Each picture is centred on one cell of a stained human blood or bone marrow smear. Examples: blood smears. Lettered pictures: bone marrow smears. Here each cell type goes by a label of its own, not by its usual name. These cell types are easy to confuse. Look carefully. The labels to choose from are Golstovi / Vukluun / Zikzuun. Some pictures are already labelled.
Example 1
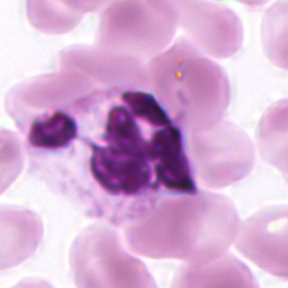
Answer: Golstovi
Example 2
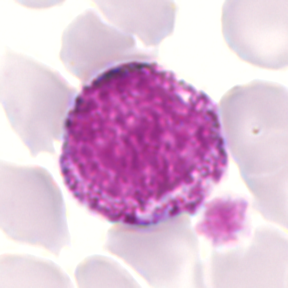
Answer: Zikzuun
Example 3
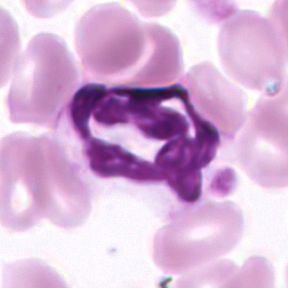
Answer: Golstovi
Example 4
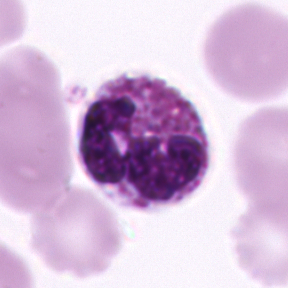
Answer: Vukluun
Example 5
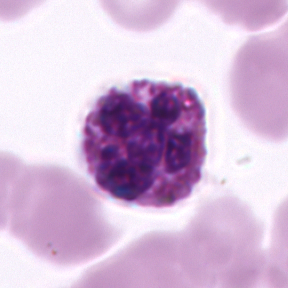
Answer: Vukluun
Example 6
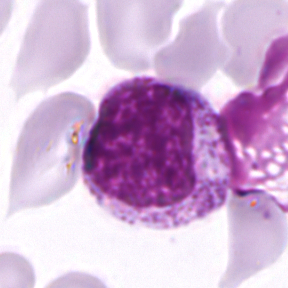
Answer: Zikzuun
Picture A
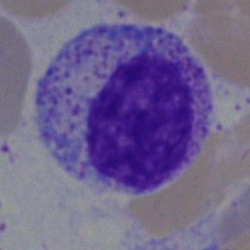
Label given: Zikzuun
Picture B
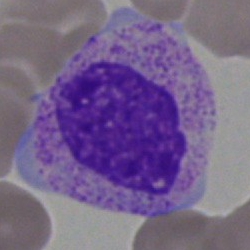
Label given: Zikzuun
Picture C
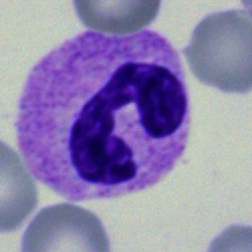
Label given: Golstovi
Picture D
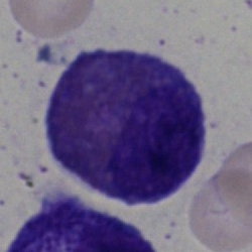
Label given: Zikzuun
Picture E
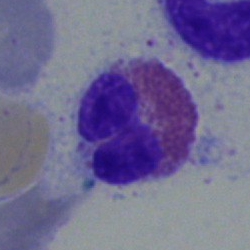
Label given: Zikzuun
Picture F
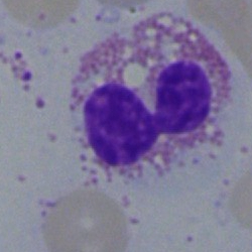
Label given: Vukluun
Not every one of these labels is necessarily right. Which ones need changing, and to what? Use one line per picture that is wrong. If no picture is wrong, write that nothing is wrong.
D: change Zikzuun to Vukluun
E: change Zikzuun to Vukluun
